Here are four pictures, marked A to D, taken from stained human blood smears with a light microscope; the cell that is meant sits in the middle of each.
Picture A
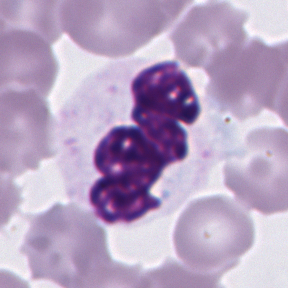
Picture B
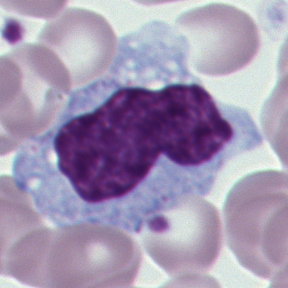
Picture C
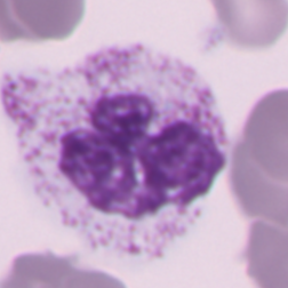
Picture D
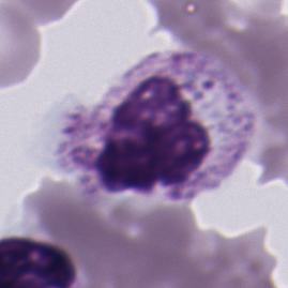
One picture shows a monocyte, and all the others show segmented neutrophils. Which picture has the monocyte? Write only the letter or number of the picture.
B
